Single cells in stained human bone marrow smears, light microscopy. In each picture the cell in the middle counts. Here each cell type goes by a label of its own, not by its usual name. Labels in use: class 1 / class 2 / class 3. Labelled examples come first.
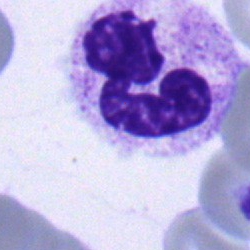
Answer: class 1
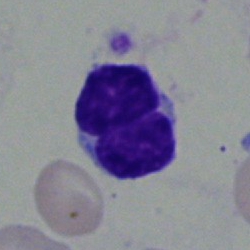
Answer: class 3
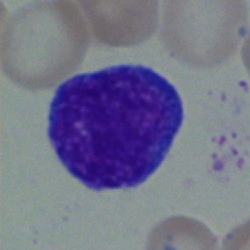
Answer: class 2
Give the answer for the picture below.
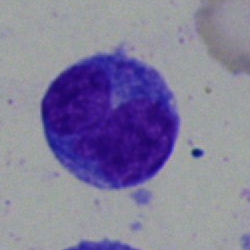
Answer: class 2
